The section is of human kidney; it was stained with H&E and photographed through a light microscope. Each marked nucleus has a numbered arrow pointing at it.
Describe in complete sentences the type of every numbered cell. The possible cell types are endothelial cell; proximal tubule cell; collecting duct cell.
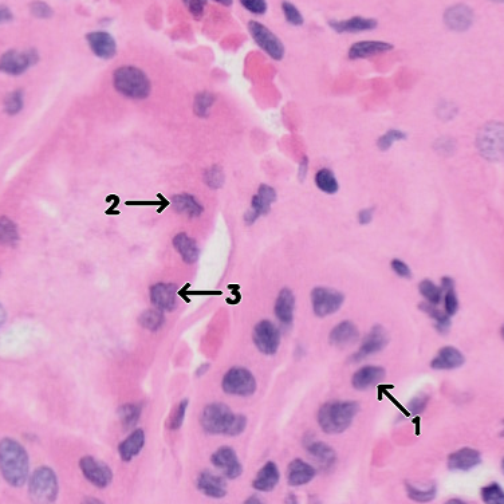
Cell 1 is a collecting duct cell, cell 2 is a proximal tubule cell and cell 3 is a proximal tubule cell.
